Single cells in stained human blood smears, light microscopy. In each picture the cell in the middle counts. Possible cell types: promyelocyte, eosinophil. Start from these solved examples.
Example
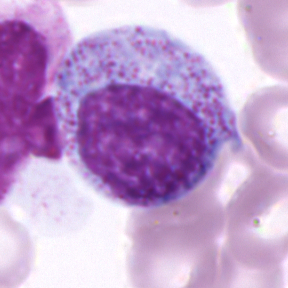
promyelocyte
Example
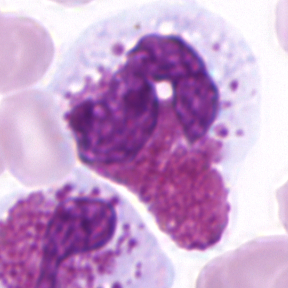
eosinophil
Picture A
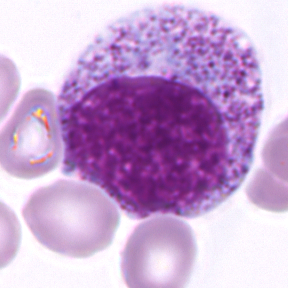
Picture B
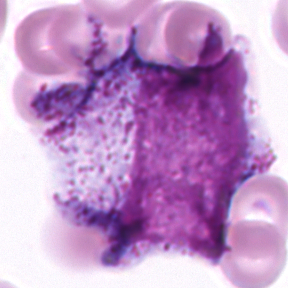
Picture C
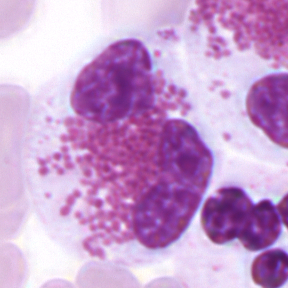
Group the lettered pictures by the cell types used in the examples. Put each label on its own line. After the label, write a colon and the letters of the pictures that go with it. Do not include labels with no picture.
promyelocyte: A, B
eosinophil: C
